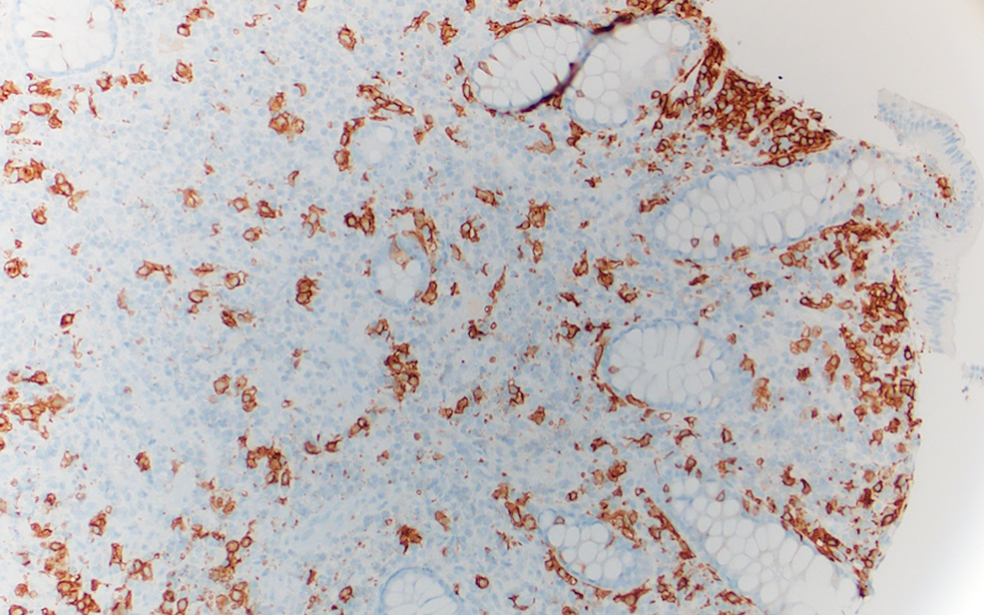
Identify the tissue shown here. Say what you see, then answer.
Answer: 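Colon. Cut crypts are lined by many pale, vacuolated goblet cells. A columnar surface epithelium runs along the right edge. A cellular lamina propria fills the space between the crypts.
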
